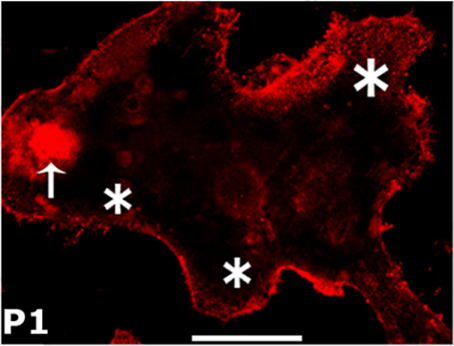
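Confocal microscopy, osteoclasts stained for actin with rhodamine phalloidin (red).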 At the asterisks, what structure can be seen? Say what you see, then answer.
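The asterisks lie beside the cell's margin. The margin there carries a band of fine red dots rather than a solid patch.
Podosome-like structures.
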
